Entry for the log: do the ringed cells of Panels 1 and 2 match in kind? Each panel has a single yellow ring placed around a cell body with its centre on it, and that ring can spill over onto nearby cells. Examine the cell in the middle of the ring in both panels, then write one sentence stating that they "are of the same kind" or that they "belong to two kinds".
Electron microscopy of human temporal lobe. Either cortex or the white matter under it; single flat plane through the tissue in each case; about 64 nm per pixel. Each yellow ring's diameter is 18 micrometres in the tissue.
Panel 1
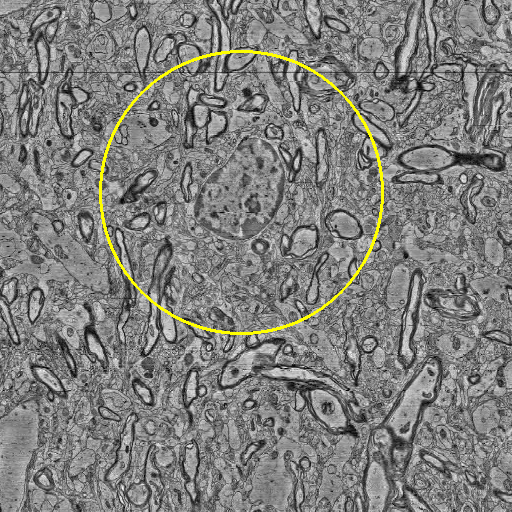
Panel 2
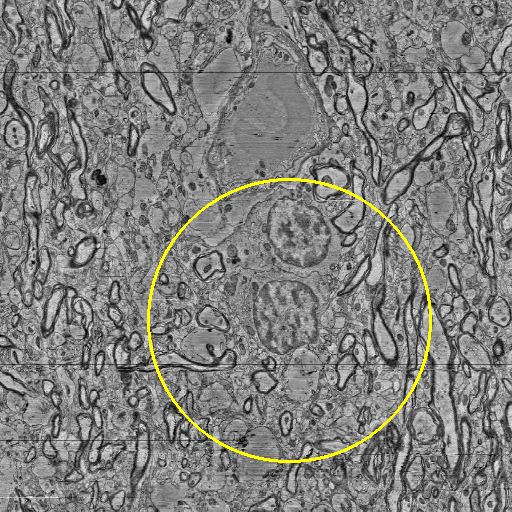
The centre cell of Panel 1's ring and that of Panel 2's ring belong to two kinds.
